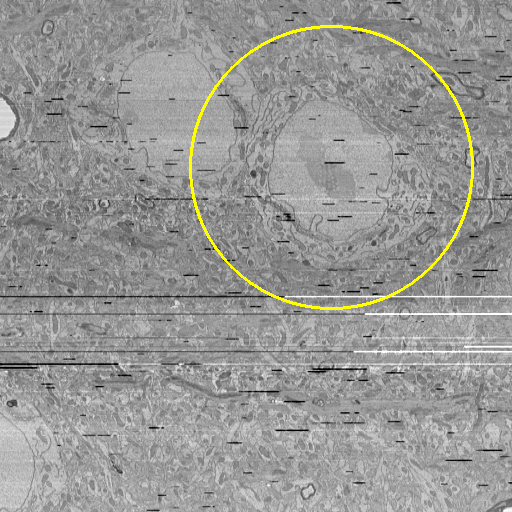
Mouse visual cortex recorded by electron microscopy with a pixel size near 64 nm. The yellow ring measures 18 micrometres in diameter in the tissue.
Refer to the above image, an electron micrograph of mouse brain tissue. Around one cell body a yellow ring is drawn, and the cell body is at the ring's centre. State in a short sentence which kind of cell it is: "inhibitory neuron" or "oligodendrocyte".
The centre of the ring falls on an inhibitory neuron.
